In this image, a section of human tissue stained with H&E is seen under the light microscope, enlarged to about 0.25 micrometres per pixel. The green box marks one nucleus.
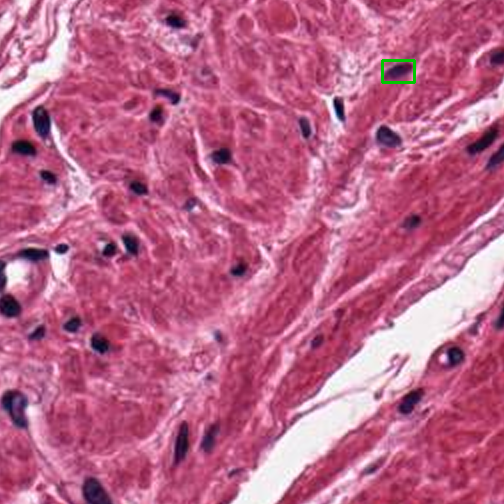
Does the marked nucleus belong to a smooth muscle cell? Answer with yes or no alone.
yes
